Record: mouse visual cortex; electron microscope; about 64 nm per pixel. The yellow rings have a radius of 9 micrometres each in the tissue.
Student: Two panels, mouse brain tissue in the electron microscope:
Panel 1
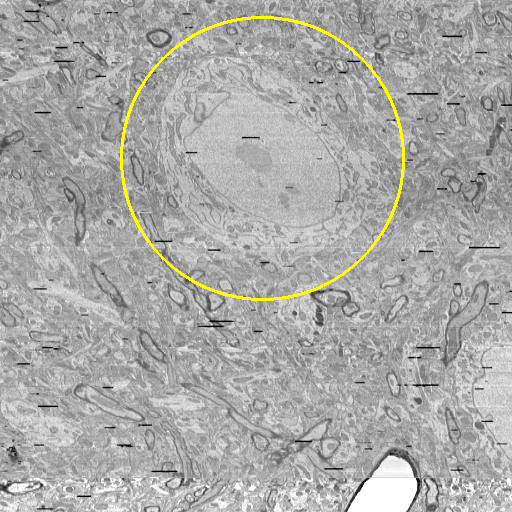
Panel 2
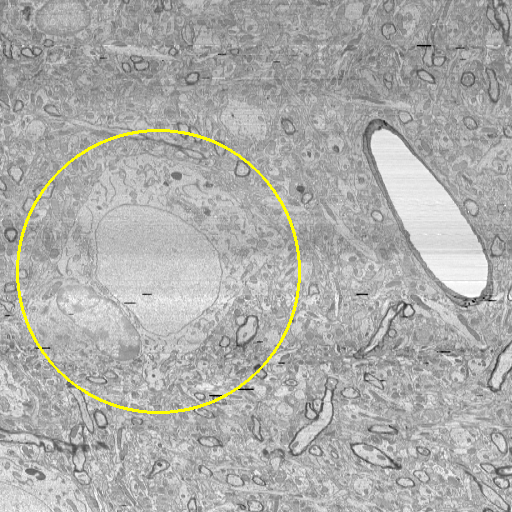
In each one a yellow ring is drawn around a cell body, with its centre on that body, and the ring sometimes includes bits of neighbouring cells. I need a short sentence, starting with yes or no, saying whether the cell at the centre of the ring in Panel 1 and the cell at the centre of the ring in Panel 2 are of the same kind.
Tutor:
No, they are two kinds of cell.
